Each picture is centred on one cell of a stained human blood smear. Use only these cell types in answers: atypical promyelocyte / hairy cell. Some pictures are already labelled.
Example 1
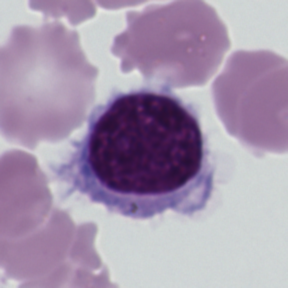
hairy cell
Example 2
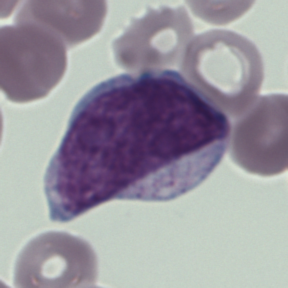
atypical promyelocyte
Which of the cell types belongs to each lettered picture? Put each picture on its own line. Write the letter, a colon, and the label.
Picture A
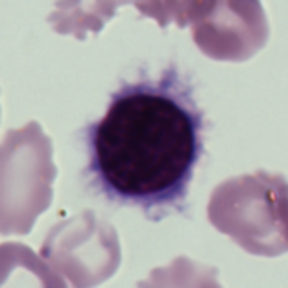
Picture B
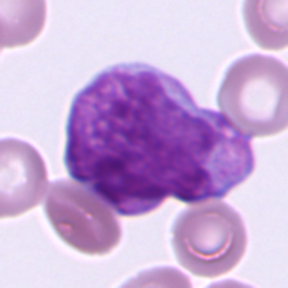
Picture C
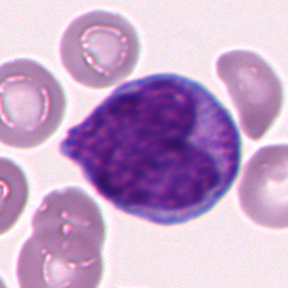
A: hairy cell
B: atypical promyelocyte
C: atypical promyelocyte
